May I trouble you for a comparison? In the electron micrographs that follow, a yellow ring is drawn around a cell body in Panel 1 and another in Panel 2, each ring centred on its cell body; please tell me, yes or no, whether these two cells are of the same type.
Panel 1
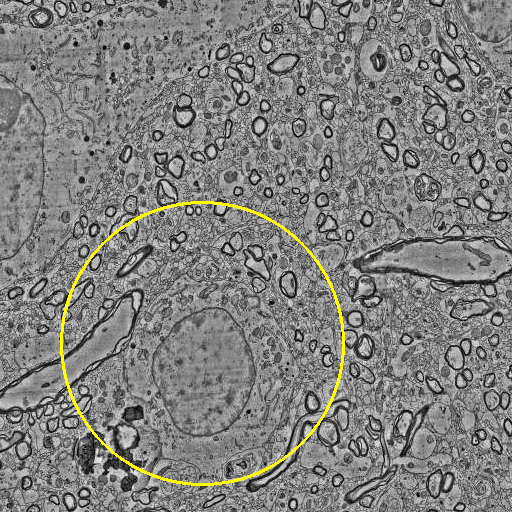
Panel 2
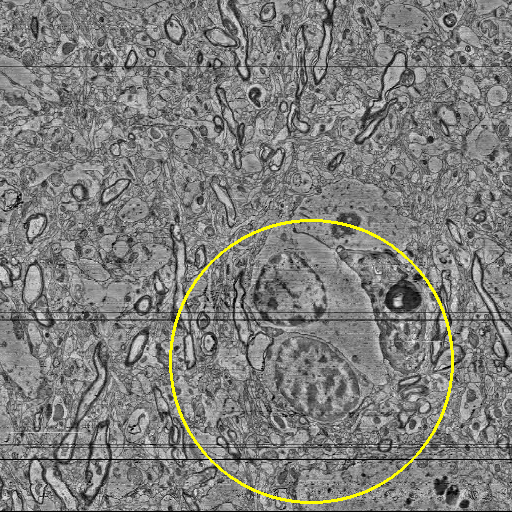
no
